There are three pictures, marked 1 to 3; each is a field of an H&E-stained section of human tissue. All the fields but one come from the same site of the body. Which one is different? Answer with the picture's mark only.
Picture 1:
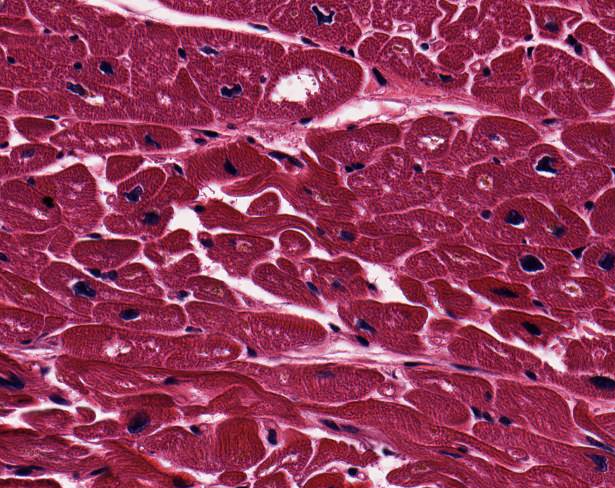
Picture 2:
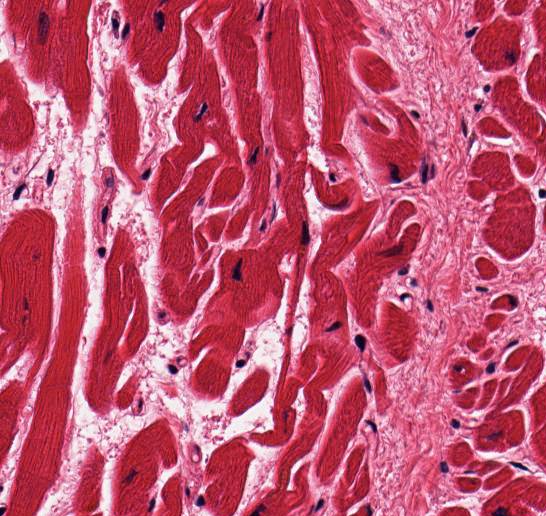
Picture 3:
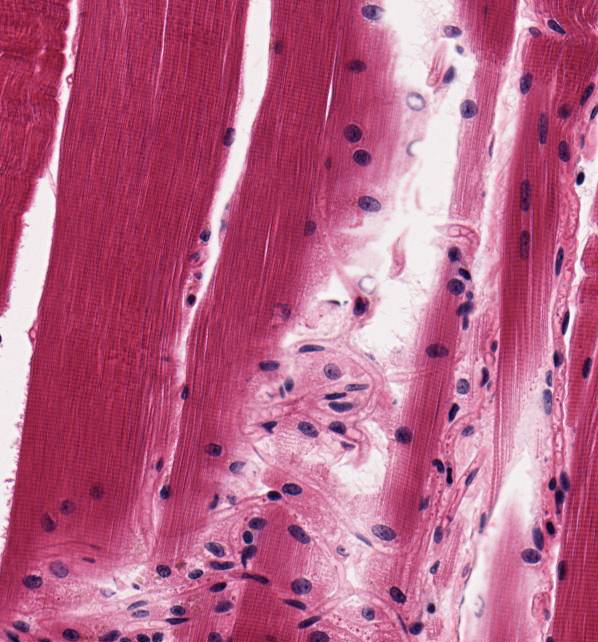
3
